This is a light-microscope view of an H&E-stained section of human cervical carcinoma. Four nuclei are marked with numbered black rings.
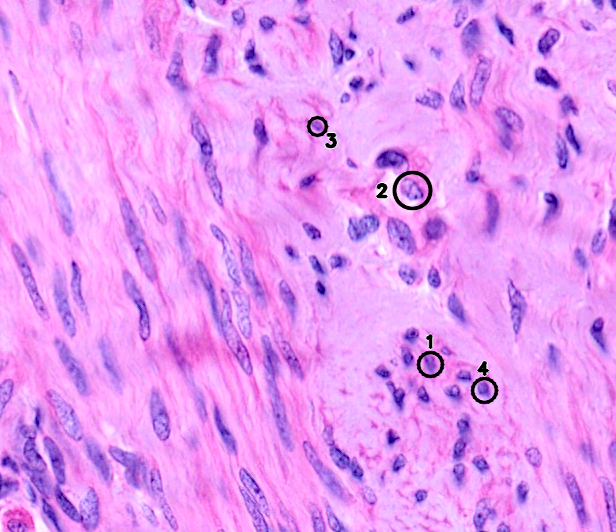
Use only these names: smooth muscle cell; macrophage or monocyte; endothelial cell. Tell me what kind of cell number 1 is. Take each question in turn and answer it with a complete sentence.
In this section, the cell numbered 1 is a smooth muscle cell.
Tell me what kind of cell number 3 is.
The marked cell bearing number 3 is a smooth muscle cell.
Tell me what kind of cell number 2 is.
Identified as an endothelial cell is the cell bearing the number 2.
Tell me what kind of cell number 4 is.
Numbered cell 4 is a smooth muscle cell in this tissue section.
